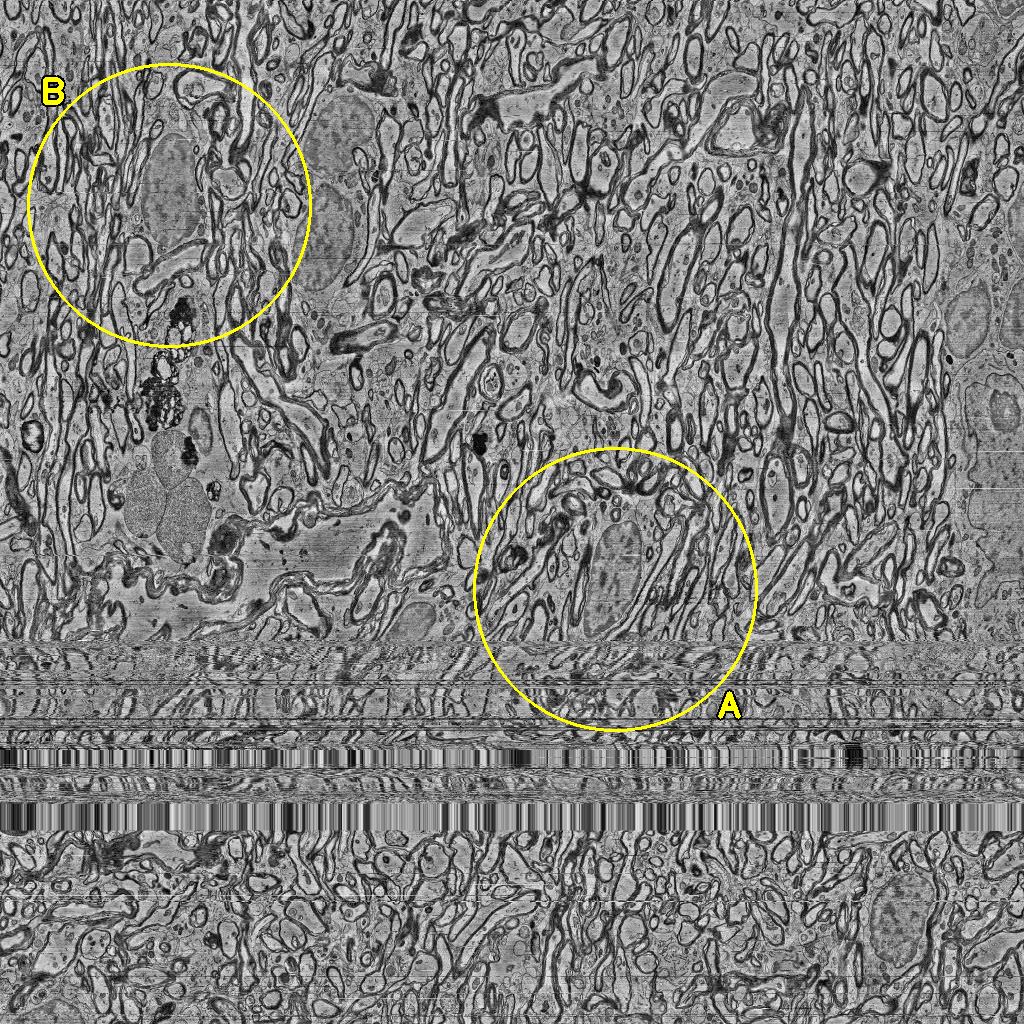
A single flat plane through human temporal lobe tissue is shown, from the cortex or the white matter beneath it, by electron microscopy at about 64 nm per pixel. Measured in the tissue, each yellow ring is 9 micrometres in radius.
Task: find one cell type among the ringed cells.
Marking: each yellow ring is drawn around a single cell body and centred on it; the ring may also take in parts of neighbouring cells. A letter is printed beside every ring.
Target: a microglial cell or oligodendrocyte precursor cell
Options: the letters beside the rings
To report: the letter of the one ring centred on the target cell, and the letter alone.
A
